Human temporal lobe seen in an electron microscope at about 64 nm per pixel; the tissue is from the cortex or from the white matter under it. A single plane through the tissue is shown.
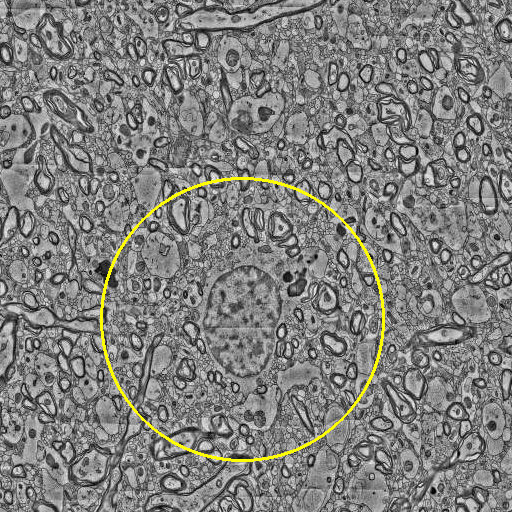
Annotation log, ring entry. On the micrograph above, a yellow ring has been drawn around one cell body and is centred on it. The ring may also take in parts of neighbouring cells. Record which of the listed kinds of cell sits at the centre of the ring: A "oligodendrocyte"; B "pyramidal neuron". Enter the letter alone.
A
